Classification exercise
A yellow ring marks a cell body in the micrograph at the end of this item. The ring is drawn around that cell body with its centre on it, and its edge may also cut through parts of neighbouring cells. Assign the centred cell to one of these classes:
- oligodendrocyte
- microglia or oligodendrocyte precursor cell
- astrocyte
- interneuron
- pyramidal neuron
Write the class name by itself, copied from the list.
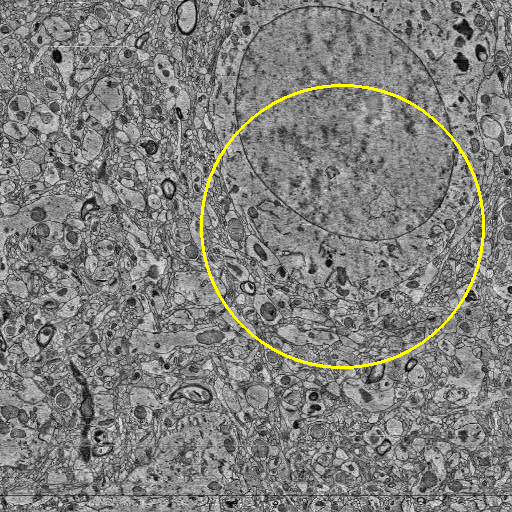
pyramidal neuron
